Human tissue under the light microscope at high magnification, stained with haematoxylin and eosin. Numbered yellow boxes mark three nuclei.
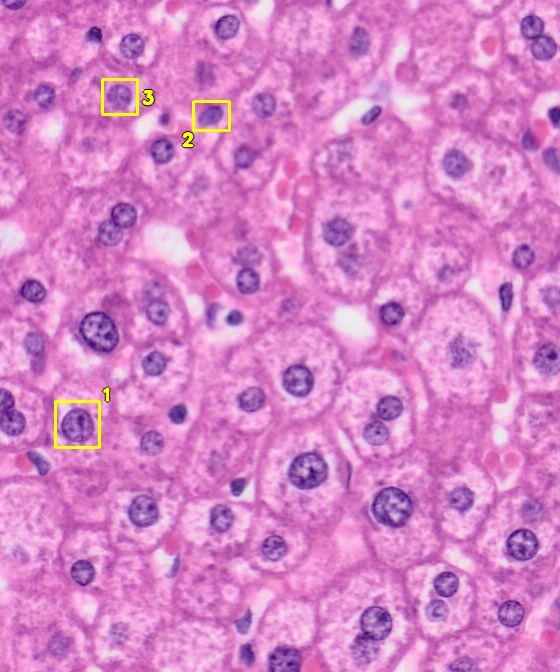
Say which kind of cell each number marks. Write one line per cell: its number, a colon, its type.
1: hepatocyte
2: Kupffer cell
3: hepatocyte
